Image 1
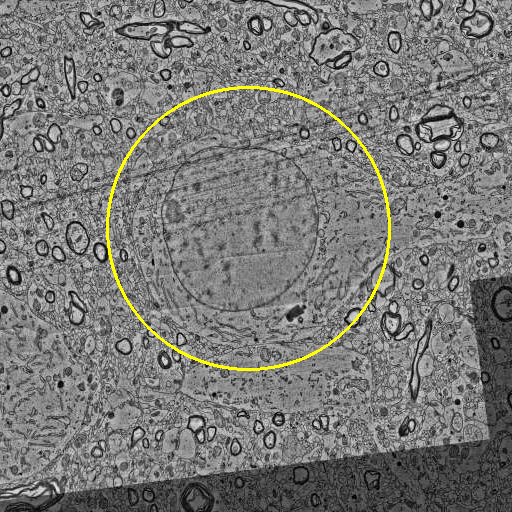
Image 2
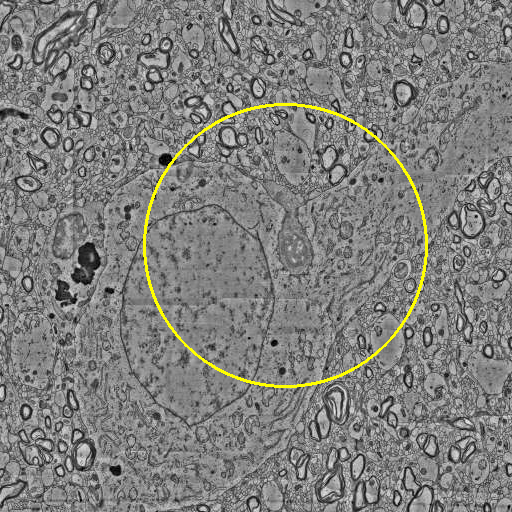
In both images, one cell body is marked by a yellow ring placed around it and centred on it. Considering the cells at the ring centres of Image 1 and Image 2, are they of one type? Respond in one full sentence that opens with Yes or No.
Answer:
No, two types apply to the ring-centred cells of Image 1 and Image 2.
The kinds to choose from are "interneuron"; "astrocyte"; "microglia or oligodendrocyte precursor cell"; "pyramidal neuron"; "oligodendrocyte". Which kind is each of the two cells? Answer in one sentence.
Of the two, the first cell is a pyramidal neuron and the second cell is an oligodendrocyte.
